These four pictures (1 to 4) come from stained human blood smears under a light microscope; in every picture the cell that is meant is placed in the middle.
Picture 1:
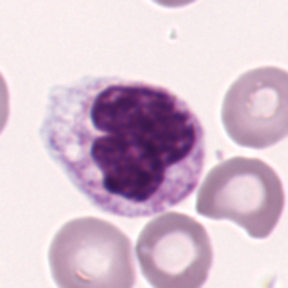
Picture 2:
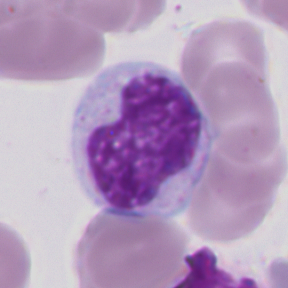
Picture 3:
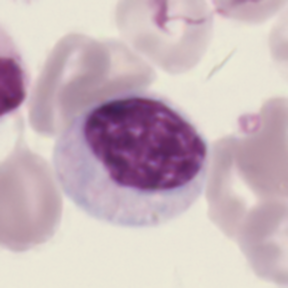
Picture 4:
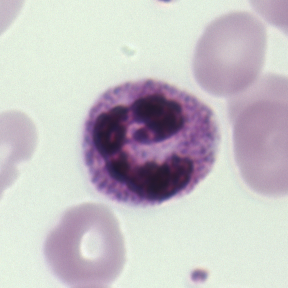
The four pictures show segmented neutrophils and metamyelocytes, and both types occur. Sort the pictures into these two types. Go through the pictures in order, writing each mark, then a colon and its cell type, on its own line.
1: segmented neutrophil
2: metamyelocyte
3: metamyelocyte
4: segmented neutrophil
